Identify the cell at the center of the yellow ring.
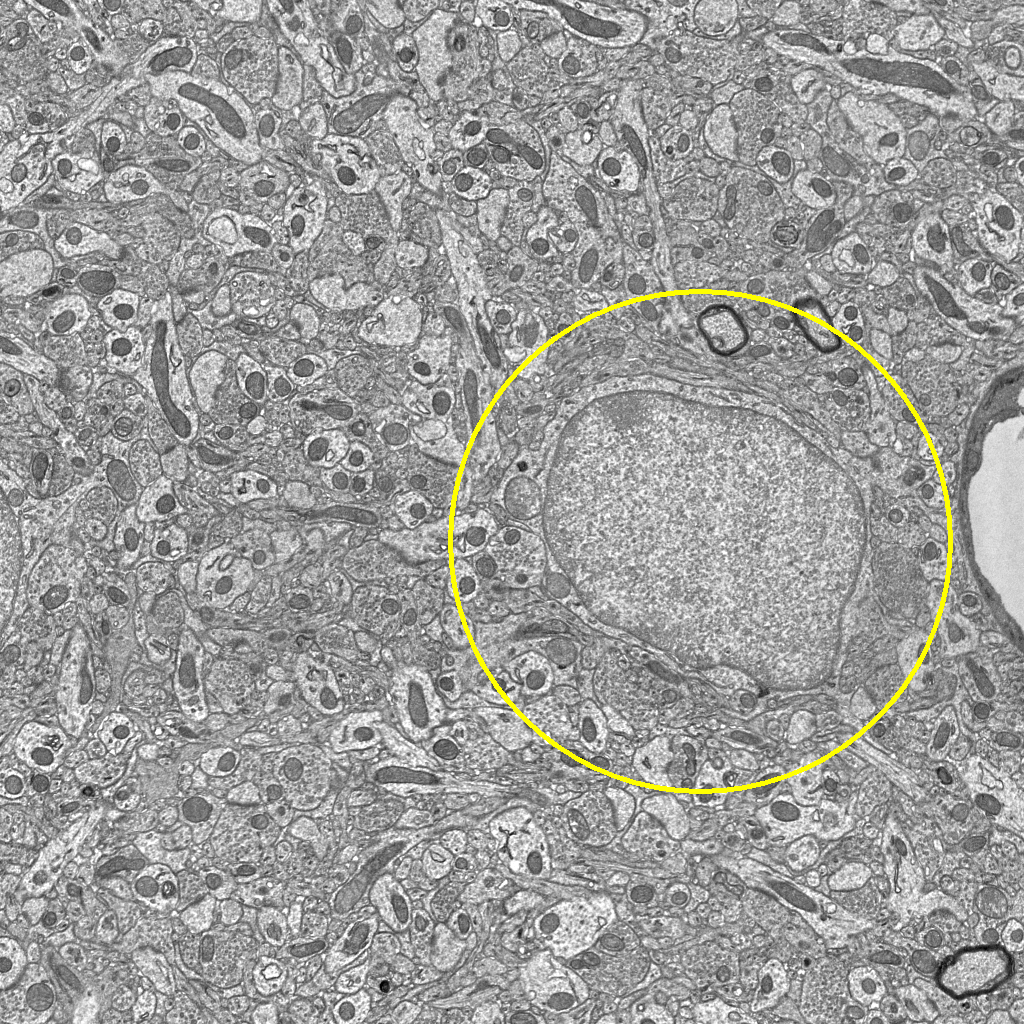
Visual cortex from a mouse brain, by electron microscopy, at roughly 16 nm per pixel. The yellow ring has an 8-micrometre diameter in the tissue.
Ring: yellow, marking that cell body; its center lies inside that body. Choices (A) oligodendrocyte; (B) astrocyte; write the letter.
B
